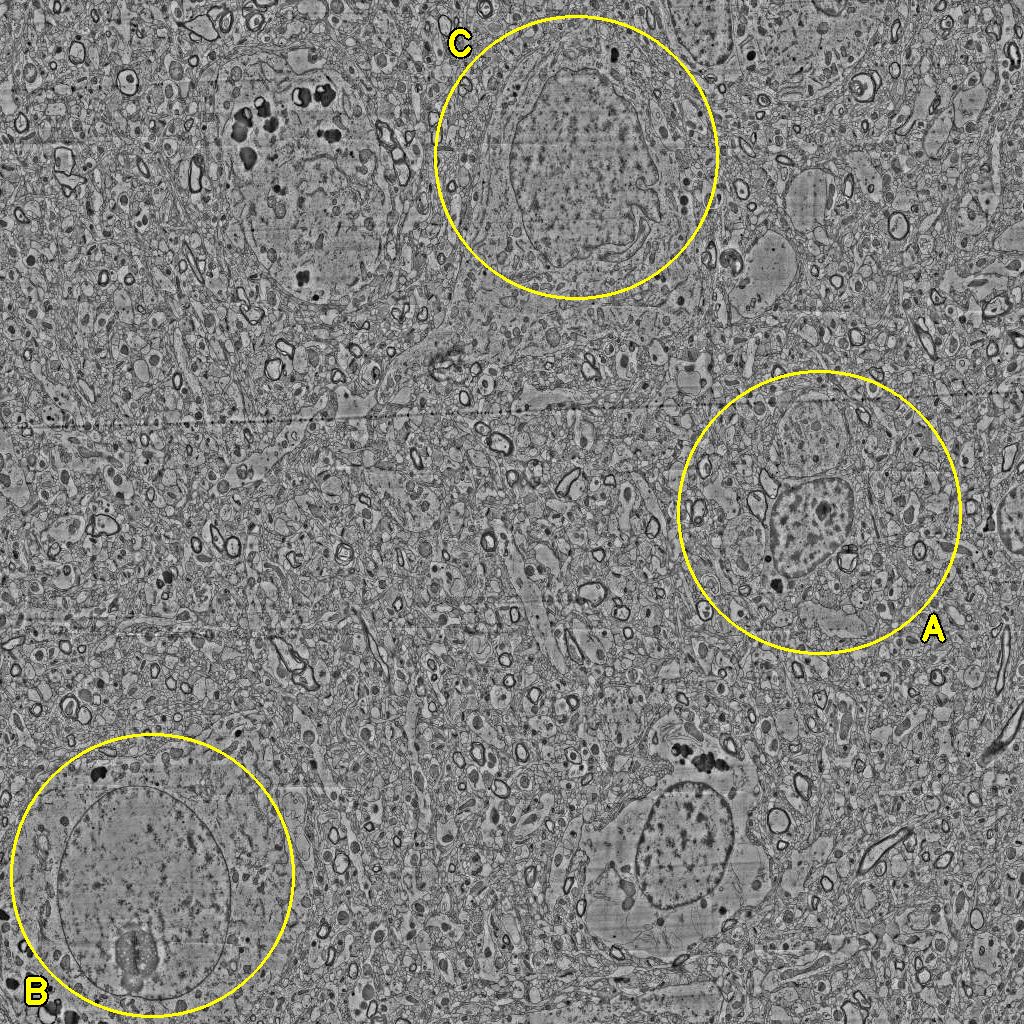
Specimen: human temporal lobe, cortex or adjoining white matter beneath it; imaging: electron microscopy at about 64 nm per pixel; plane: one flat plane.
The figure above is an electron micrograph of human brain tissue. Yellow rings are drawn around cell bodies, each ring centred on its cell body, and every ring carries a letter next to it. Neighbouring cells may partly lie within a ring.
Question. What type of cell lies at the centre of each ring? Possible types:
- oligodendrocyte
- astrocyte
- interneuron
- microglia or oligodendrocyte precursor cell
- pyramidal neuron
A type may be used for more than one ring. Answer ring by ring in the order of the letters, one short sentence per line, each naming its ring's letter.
In ring A, the central cell is an oligodendrocyte.
In ring B, the central cell is a pyramidal neuron.
In ring C, the central cell is an interneuron.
